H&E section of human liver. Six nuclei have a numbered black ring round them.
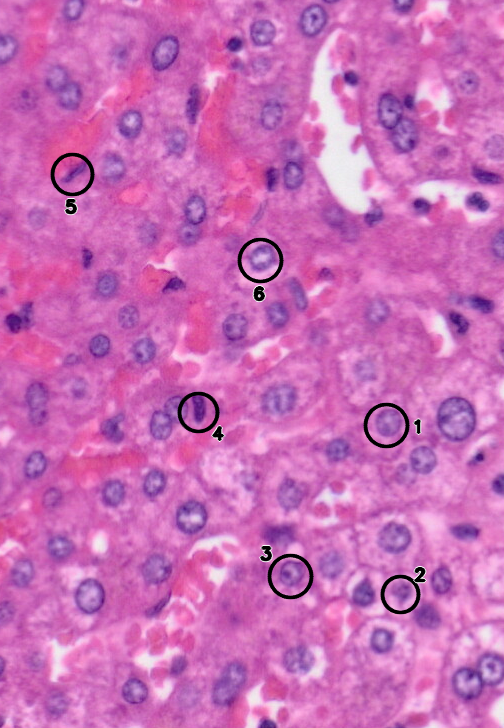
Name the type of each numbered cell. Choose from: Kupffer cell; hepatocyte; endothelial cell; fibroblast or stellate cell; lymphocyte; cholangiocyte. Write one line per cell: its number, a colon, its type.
1: hepatocyte
2: hepatocyte
3: hepatocyte
4: fibroblast or stellate cell
5: endothelial cell
6: hepatocyte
